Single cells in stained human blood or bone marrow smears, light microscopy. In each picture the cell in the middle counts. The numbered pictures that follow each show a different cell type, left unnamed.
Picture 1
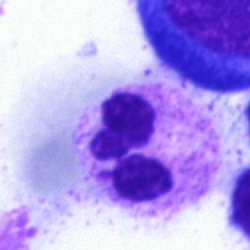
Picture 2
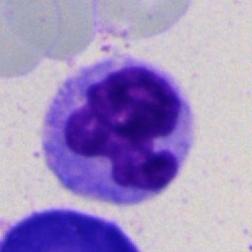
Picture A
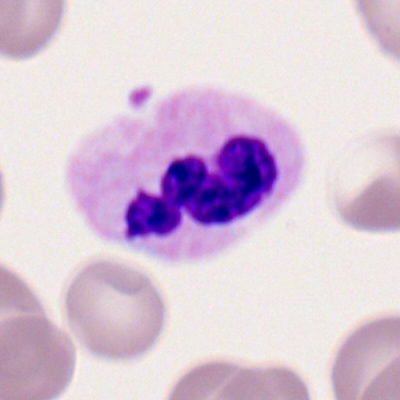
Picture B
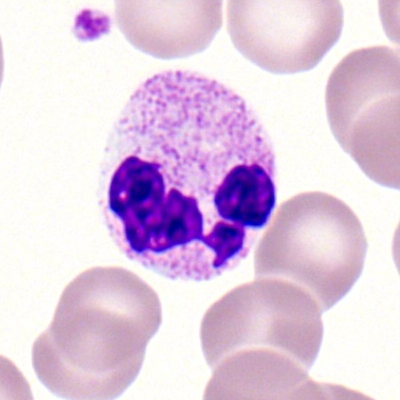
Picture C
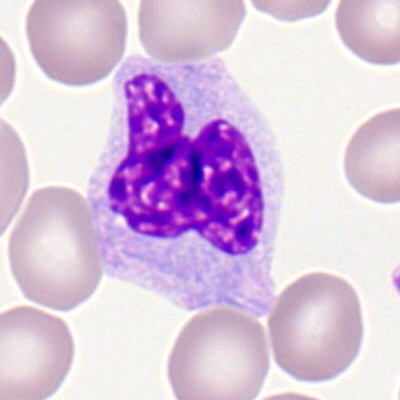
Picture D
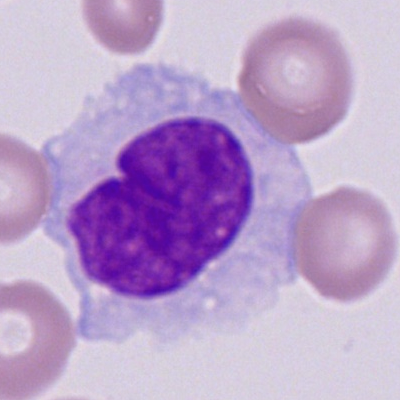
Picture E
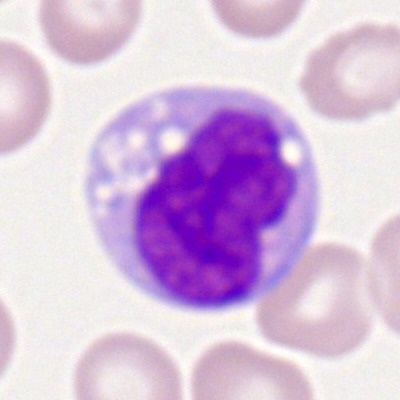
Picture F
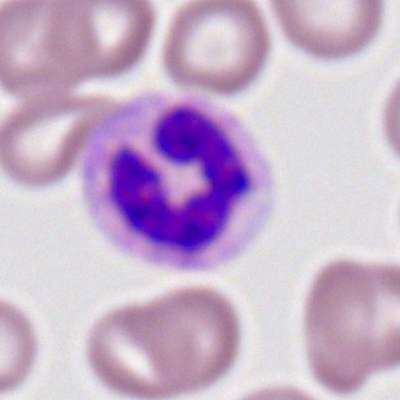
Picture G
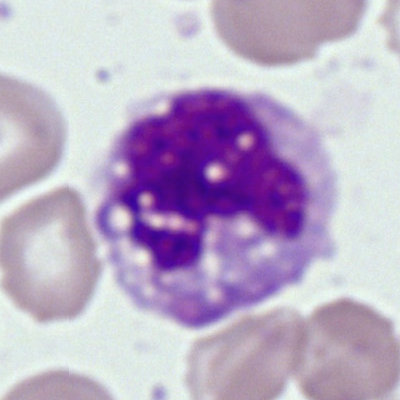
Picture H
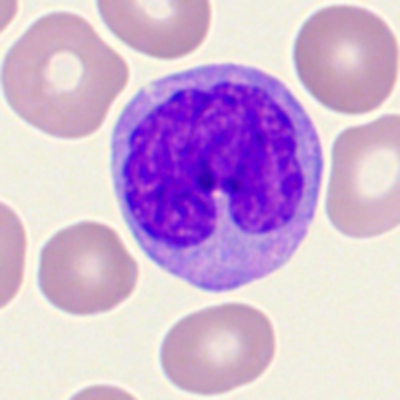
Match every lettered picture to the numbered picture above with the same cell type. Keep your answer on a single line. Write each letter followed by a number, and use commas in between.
A 1, B 1, C 2, D 2, E 2, F 1, G 2, H 2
